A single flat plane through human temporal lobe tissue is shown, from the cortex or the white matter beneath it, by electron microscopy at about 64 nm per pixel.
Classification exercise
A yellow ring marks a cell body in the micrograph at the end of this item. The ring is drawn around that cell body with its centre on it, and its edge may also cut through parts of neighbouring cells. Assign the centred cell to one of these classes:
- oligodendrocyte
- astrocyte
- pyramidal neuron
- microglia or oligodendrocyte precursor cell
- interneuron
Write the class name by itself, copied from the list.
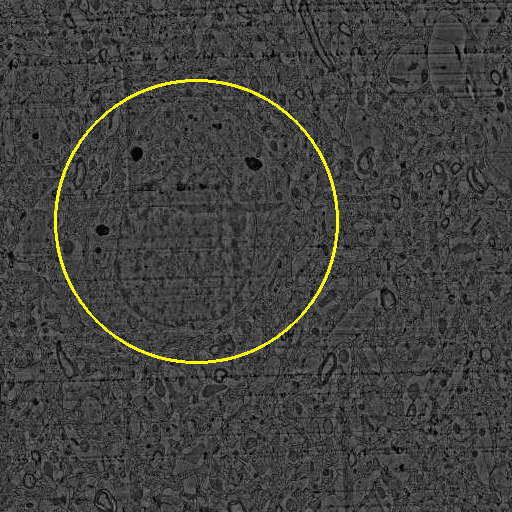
interneuron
